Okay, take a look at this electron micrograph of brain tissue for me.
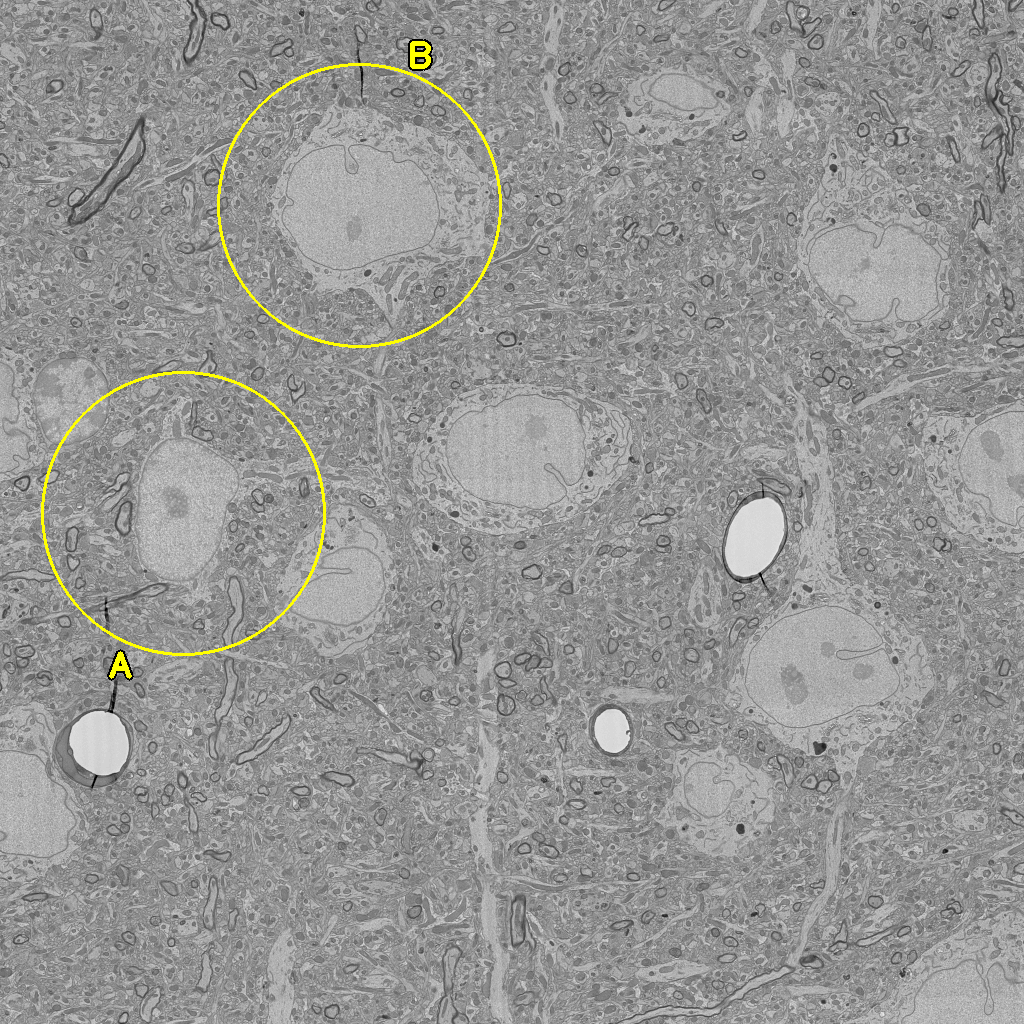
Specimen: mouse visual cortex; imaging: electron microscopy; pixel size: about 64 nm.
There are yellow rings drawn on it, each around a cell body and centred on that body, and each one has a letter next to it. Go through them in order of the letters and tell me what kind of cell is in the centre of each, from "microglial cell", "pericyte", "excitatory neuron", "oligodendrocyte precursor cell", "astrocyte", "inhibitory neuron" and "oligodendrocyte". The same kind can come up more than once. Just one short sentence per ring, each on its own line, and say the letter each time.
In the centre of ring A there's an astrocyte.
In the centre of ring B there's an excitatory neuron.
